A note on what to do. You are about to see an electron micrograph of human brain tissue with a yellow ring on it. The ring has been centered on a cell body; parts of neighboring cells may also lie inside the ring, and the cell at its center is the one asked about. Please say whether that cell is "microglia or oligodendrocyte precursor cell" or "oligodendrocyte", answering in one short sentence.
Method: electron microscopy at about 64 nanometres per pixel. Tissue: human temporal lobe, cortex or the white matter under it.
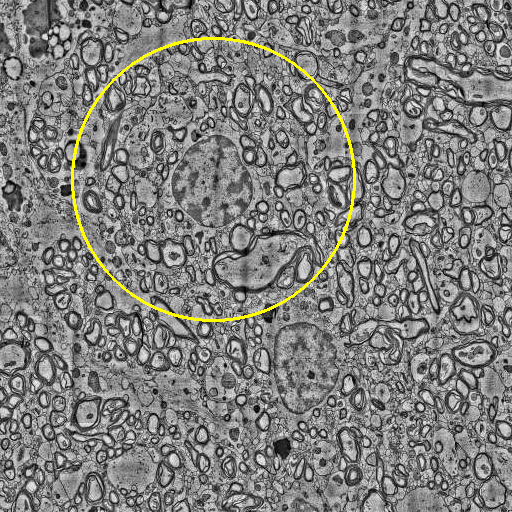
The yellow ring sits on a microglial cell or oligodendrocyte precursor cell.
